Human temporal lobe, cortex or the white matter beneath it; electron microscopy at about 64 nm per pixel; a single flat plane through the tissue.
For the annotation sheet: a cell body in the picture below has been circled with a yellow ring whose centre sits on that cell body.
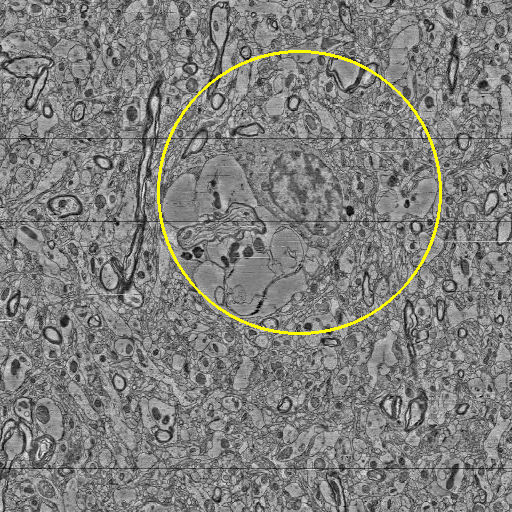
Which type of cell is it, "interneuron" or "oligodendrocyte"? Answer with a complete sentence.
The circled cell is an oligodendrocyte.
